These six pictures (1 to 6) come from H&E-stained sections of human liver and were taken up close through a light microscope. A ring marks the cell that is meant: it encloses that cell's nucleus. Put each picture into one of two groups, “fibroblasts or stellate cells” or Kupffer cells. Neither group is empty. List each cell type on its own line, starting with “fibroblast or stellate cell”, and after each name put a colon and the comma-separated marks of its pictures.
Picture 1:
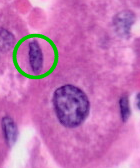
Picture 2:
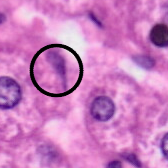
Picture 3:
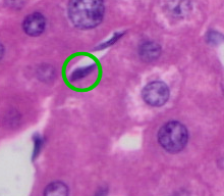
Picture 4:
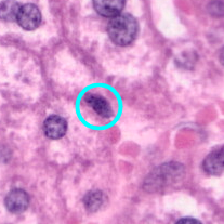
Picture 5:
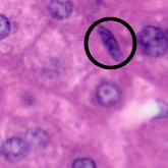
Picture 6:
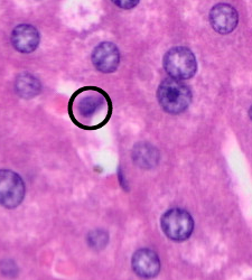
fibroblast or stellate cell: 1, 3, 4, 5
Kupffer cell: 2, 6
